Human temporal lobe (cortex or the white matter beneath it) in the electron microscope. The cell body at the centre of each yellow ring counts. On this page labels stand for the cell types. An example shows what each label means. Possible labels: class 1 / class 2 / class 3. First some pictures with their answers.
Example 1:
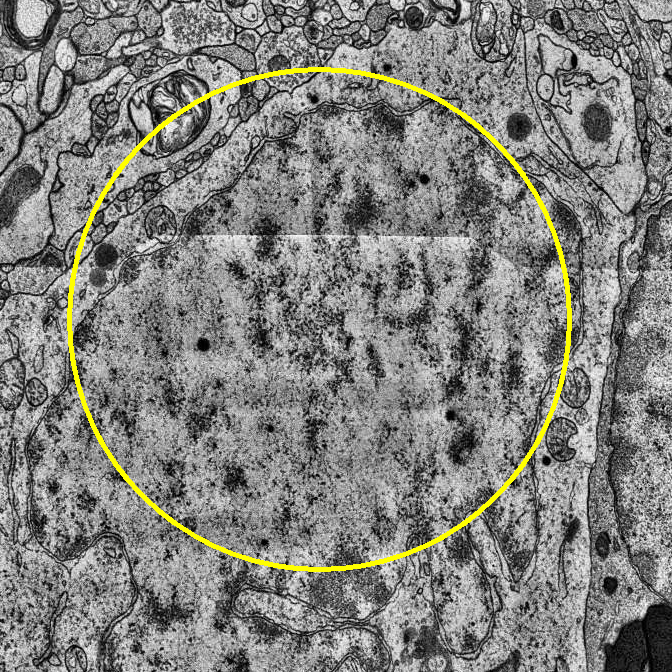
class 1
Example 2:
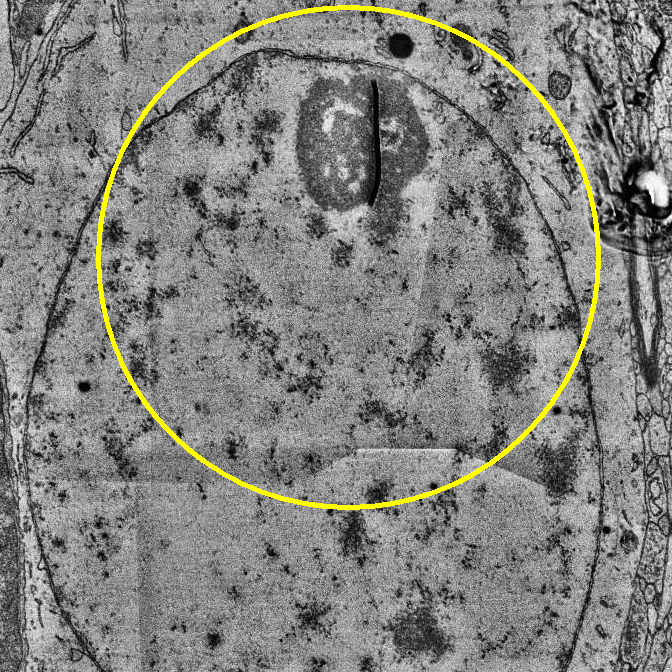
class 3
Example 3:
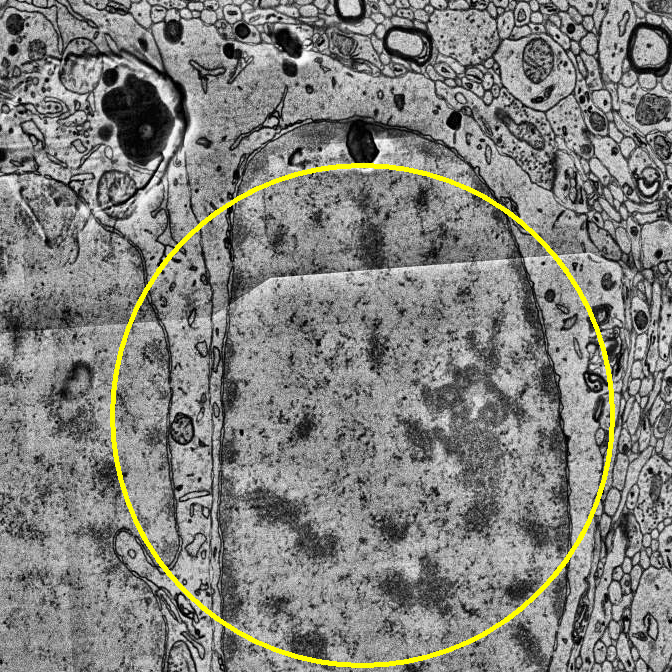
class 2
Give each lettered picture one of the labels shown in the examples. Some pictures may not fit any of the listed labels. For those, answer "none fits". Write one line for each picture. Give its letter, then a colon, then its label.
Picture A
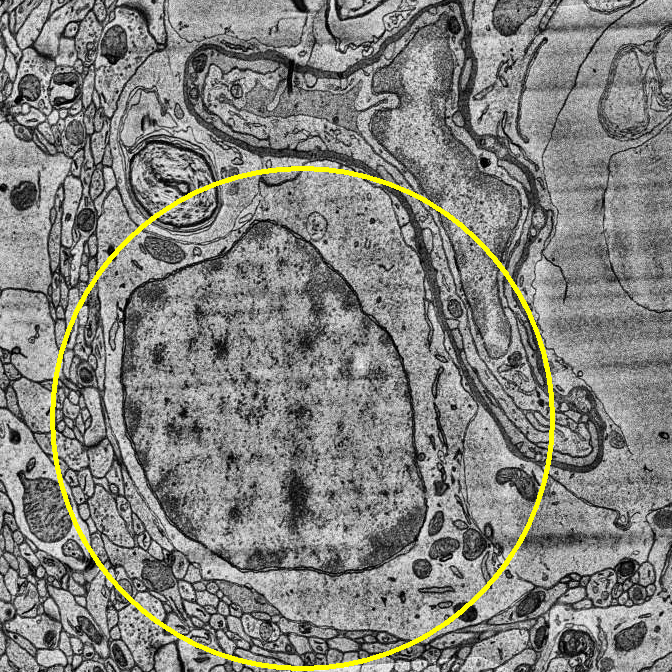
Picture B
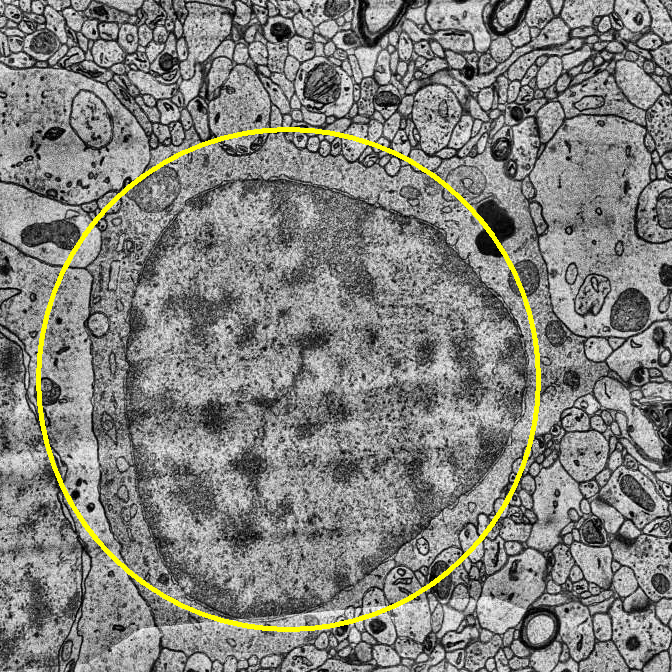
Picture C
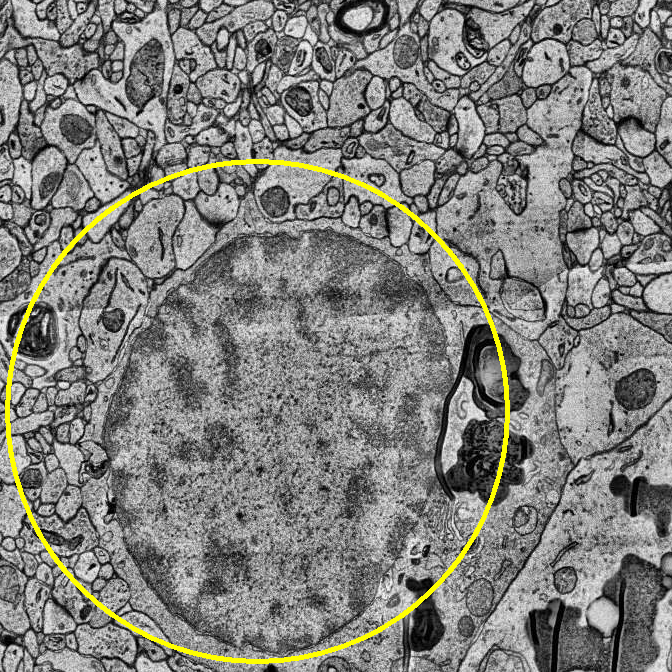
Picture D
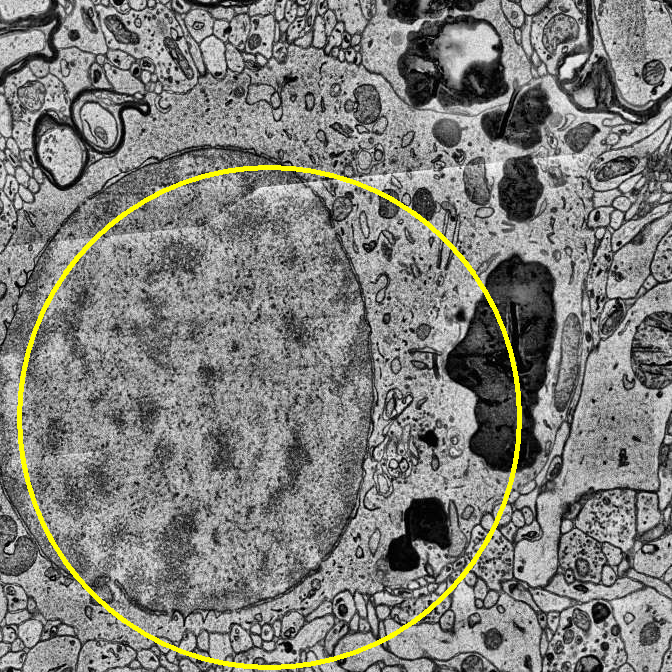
A: class 2
B: none fits
C: none fits
D: none fits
